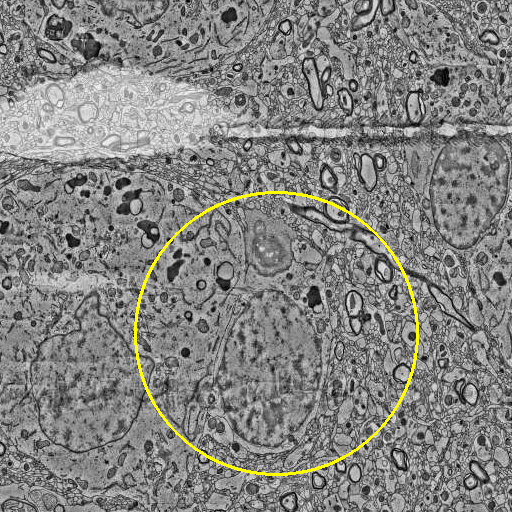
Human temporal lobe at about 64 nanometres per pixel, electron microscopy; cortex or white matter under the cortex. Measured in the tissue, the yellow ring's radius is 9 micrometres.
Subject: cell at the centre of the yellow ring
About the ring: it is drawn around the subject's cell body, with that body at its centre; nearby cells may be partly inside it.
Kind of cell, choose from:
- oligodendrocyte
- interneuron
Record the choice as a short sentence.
The subject cell is an interneuron.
